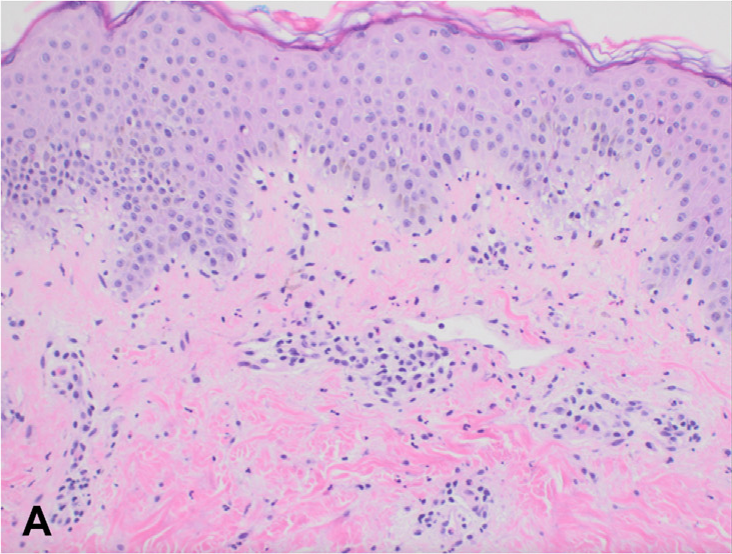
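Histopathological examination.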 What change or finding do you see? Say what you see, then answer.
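Perivascular and interstitial inflammatory cell infiltrate. Clusters of small dark-nucleated cells surround a thin-walled dermal vessel. Scattered small round cells lie between the collagen bundles of the dermis.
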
